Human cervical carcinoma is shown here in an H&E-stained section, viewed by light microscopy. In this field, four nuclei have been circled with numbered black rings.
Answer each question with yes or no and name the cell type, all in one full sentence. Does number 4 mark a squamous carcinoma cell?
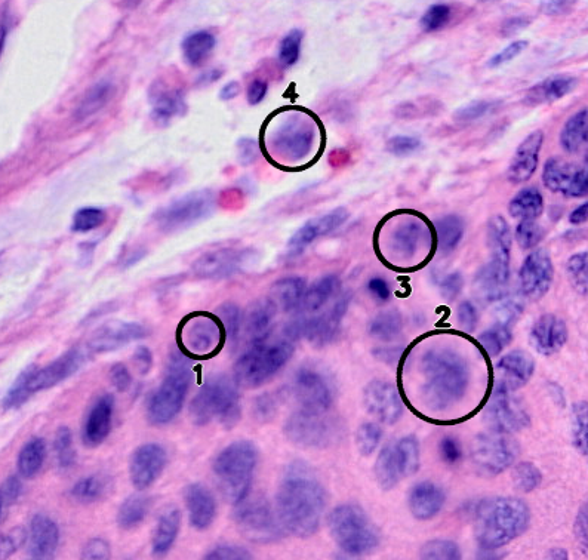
No, it is an endothelial cell, not a squamous carcinoma cell, that number 4 marks.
